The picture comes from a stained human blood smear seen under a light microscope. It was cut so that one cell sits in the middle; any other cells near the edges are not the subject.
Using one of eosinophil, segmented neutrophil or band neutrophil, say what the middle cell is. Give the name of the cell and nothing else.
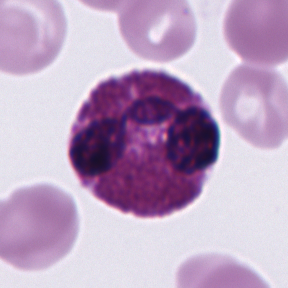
eosinophil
